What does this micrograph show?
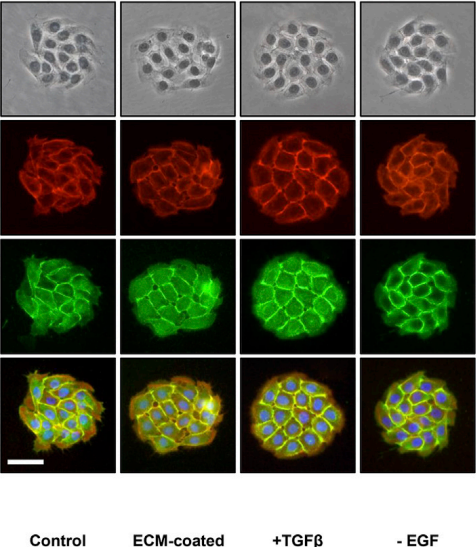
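In brightfield the cells fit together like cobblestones, each with one oval central nucleus. In the fluorescent images the red and green signals line the borders between neighbouring cells in a neat honeycomb, and the blue nuclei sit in the middle of each cell.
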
